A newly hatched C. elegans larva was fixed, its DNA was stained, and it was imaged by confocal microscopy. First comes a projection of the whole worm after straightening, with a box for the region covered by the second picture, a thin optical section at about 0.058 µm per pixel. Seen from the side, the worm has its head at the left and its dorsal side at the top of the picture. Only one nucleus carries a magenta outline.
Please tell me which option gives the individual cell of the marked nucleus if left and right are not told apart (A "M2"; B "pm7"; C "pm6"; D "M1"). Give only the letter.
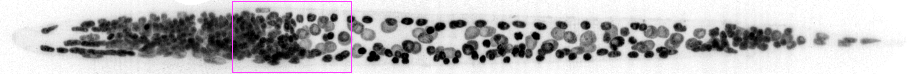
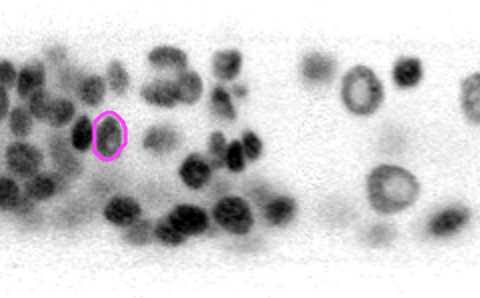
C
